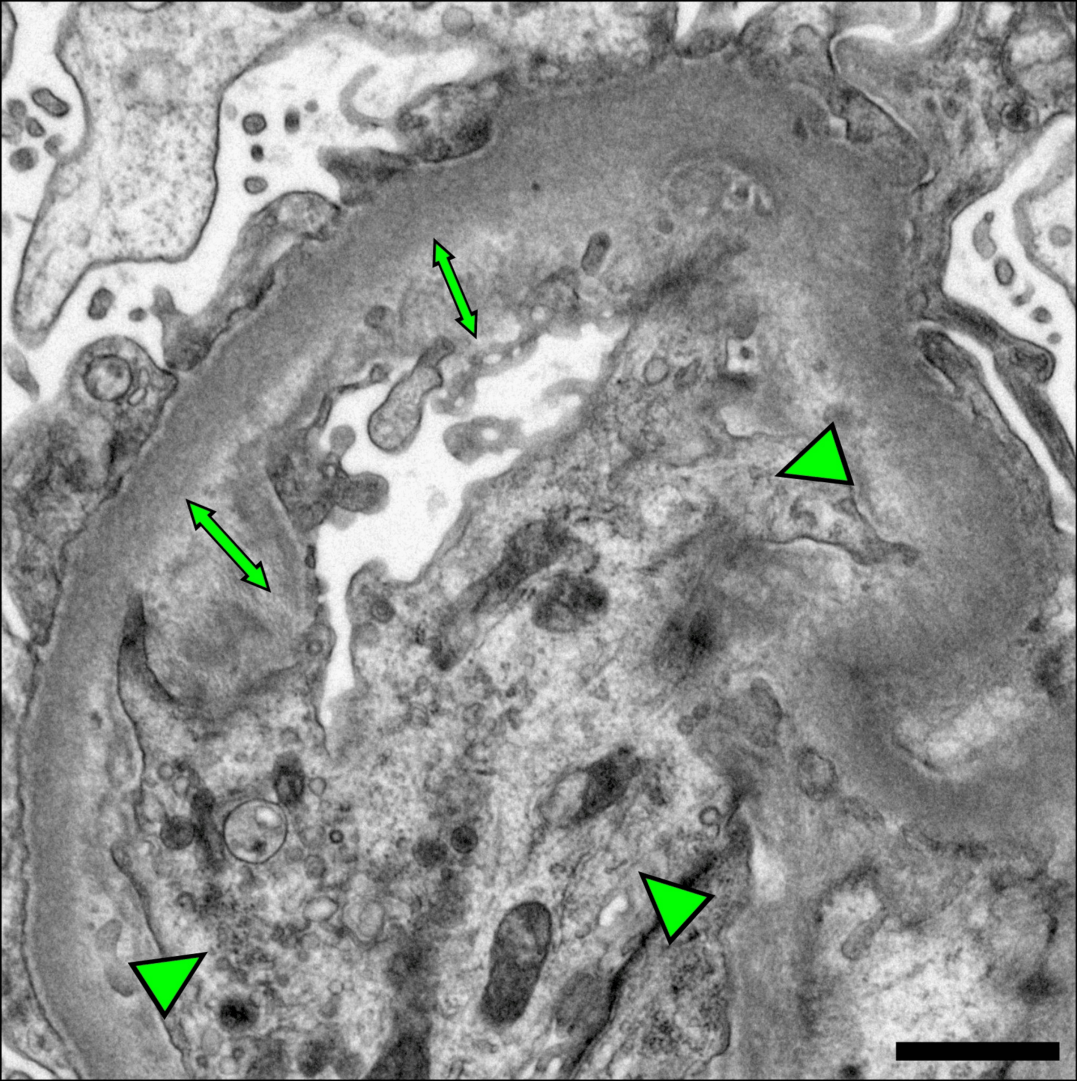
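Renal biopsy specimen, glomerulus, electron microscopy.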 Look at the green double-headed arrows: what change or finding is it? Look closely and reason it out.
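The double-headed arrows span a pale, fluffy zone lying between the dense grey basement membrane and the endothelial cytoplasm. The answer: widening of subendothelial space.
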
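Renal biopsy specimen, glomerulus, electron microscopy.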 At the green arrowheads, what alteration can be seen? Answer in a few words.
Endothelial cell swelling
